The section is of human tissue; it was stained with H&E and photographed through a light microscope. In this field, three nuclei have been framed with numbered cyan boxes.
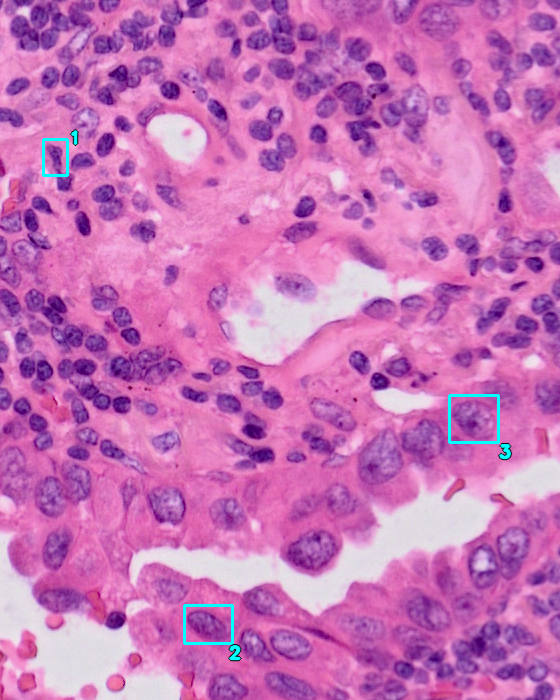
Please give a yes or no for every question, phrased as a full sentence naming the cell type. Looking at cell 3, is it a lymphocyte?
No, cell 3 is not a lymphocyte; a carcinoma cell is correct.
